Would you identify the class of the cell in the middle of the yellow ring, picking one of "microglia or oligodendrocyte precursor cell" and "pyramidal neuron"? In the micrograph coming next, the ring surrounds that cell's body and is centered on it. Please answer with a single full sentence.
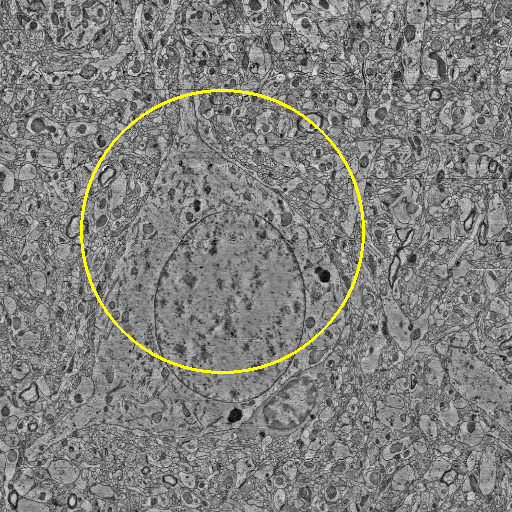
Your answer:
In the micrograph, it is a pyramidal neuron whose body lies at the ring's center.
